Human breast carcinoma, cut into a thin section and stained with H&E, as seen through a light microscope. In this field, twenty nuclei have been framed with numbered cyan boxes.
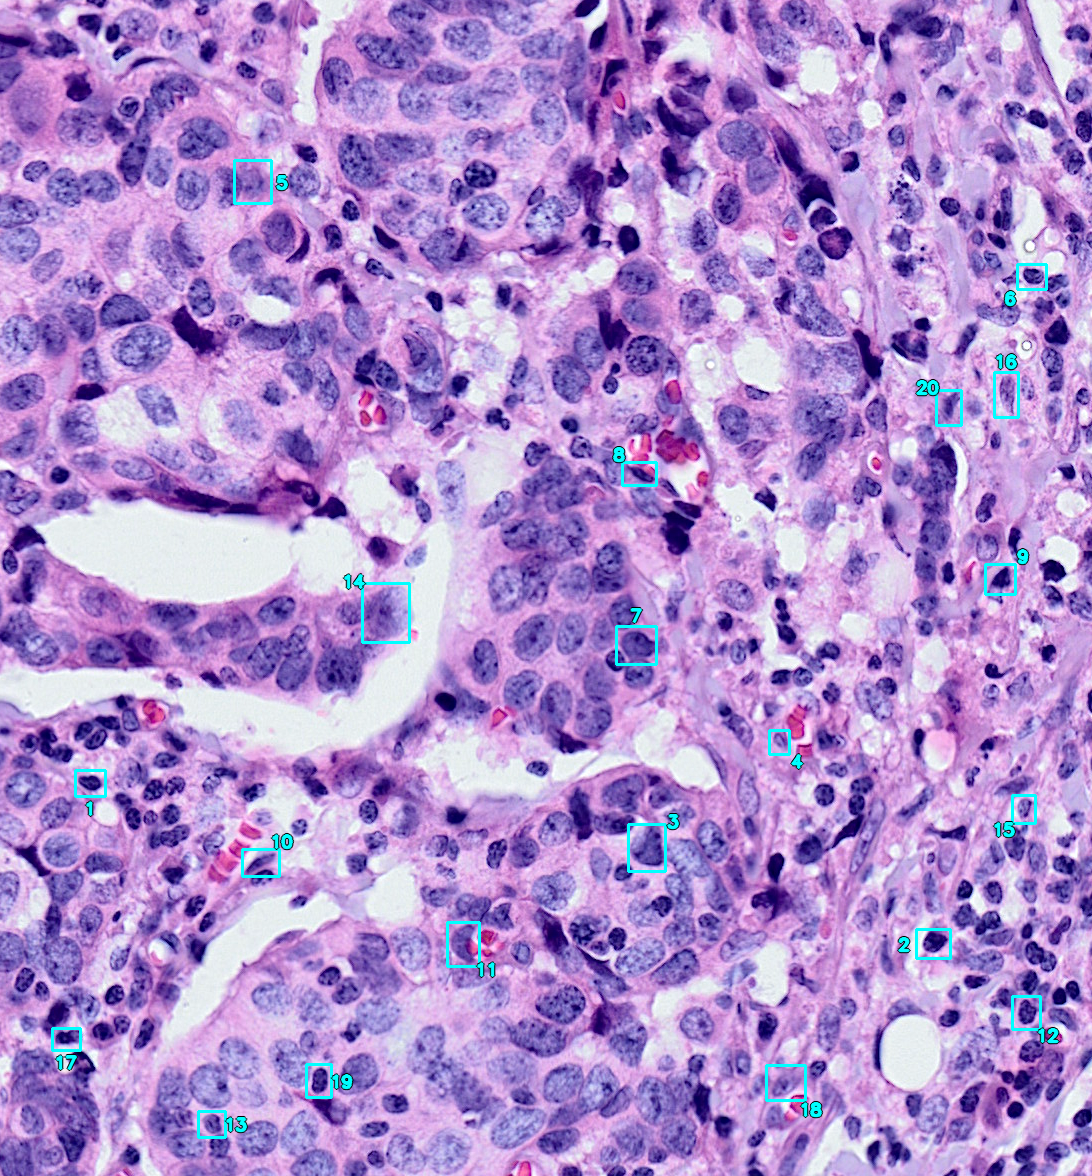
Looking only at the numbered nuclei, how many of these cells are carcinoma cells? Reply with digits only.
4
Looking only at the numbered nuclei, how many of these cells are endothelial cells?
5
